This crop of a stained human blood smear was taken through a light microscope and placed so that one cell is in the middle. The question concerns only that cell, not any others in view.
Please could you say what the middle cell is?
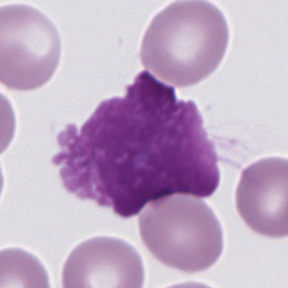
smudge cell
